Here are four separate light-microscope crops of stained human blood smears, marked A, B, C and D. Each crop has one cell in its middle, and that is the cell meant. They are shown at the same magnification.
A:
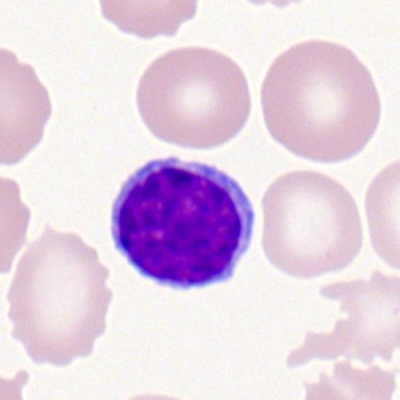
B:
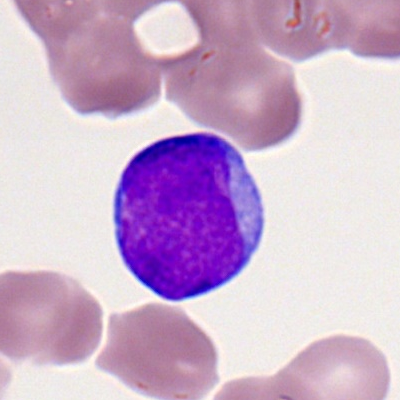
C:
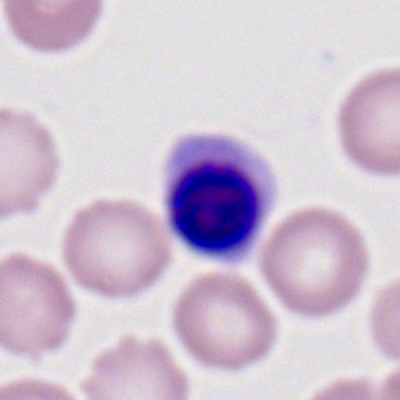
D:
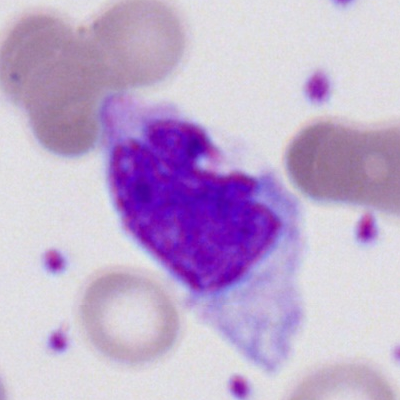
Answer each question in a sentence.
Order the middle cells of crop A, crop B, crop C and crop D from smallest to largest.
Going up, they run C, A, B, D.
